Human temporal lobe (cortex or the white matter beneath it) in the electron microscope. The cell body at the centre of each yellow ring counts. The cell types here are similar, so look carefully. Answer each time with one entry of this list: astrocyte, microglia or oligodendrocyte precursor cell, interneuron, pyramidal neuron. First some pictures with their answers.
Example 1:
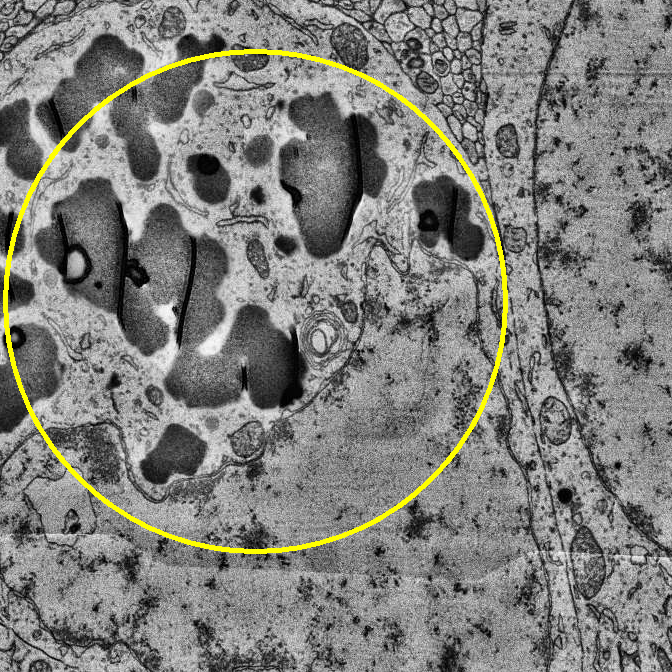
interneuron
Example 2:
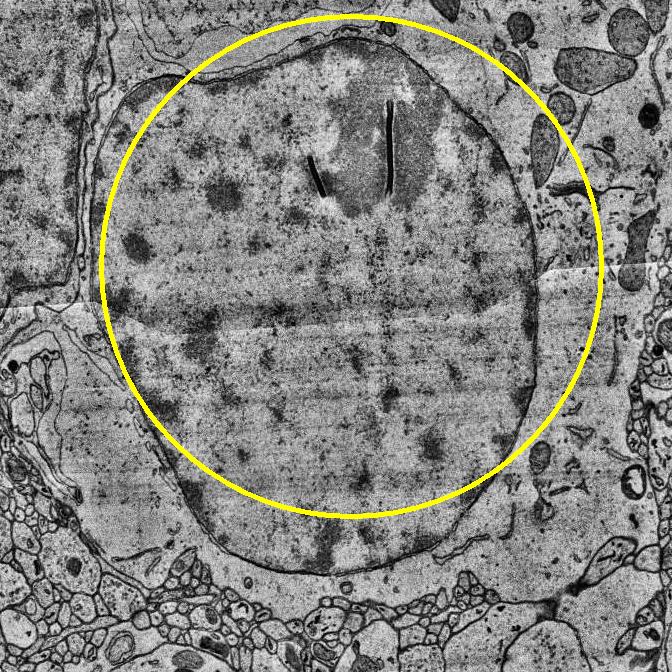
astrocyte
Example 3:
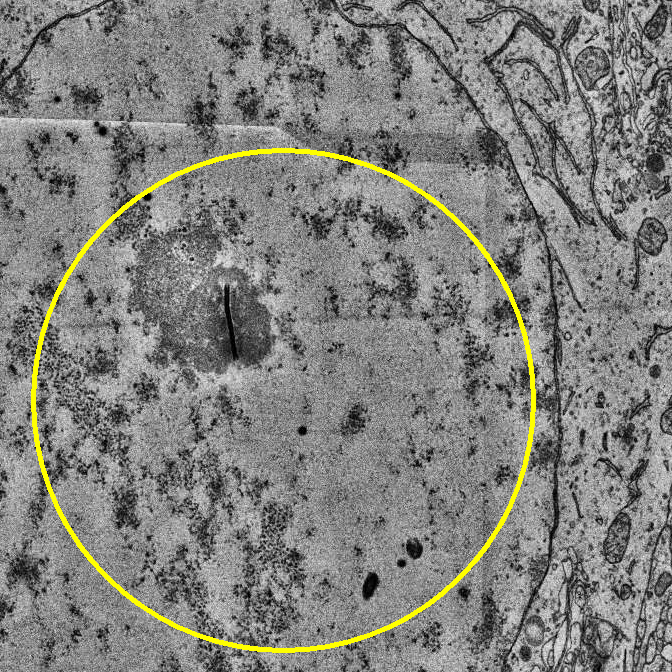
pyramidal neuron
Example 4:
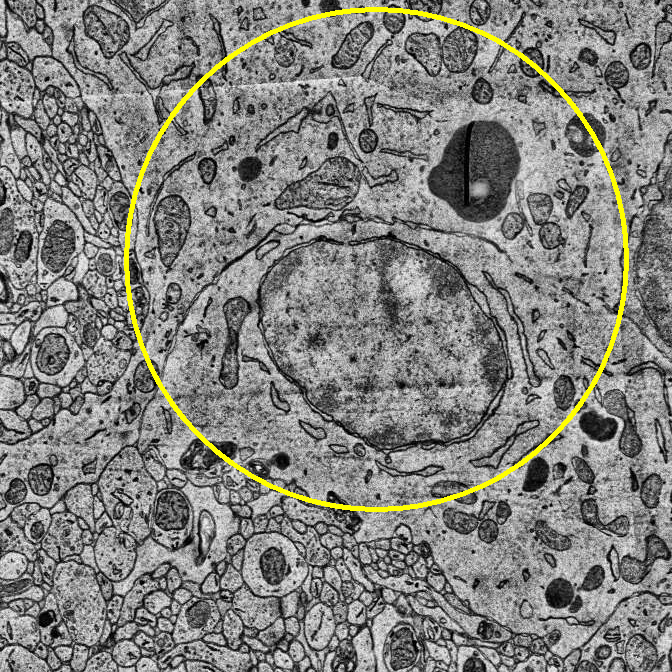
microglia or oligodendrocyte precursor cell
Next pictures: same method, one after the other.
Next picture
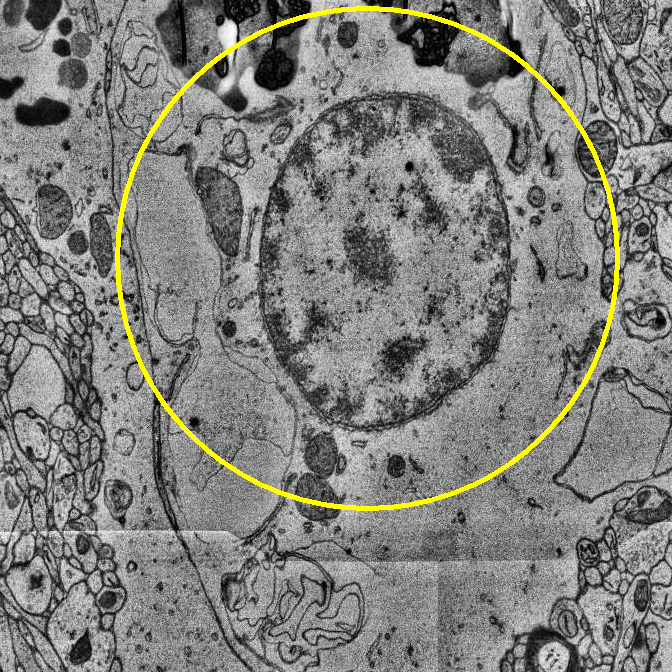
astrocyte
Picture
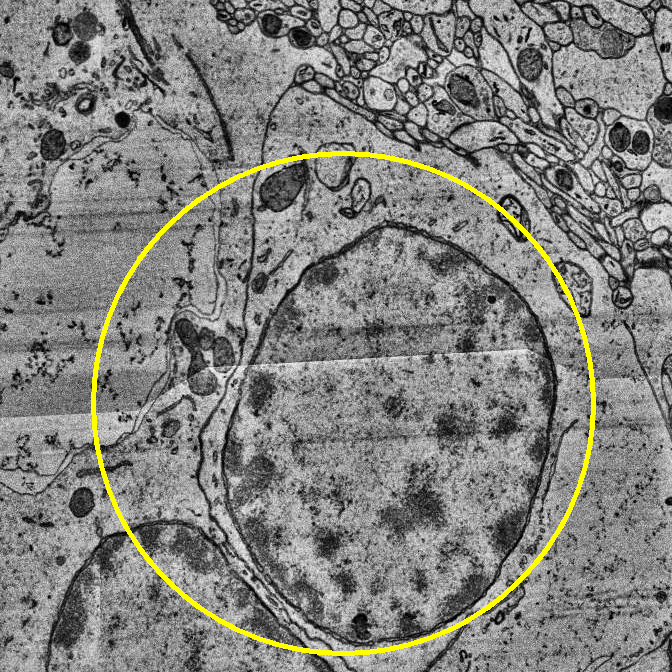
astrocyte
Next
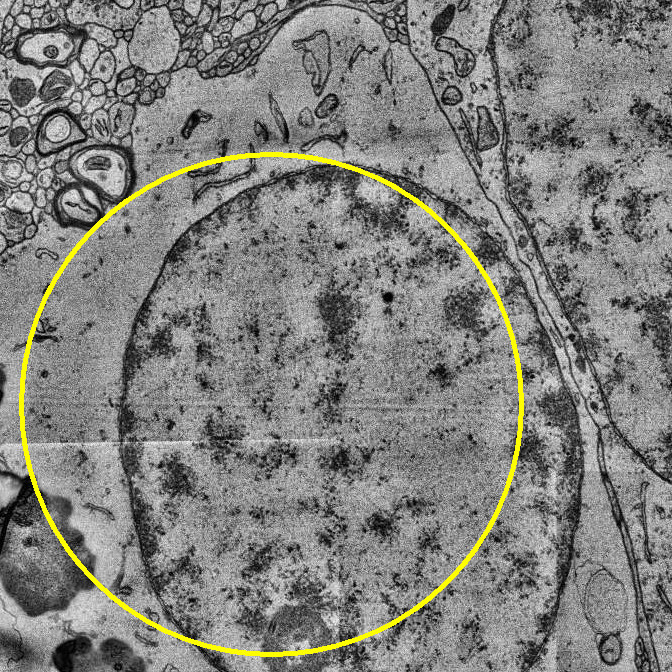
astrocyte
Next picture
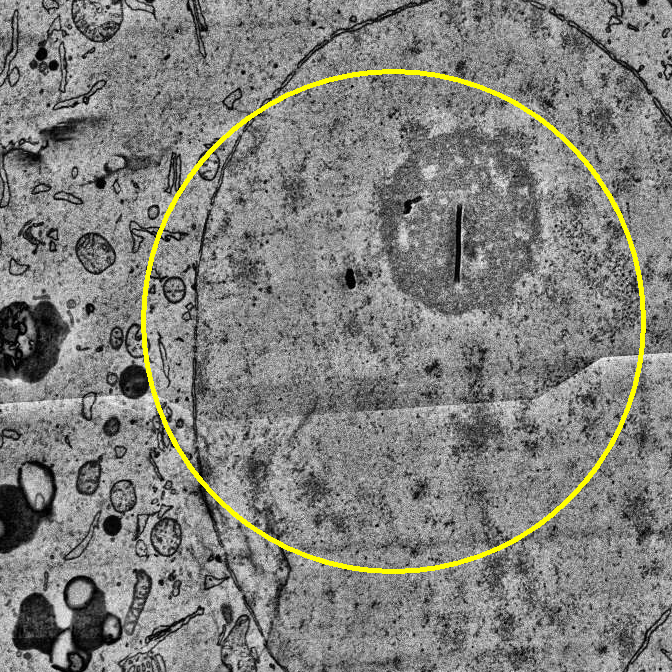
pyramidal neuron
